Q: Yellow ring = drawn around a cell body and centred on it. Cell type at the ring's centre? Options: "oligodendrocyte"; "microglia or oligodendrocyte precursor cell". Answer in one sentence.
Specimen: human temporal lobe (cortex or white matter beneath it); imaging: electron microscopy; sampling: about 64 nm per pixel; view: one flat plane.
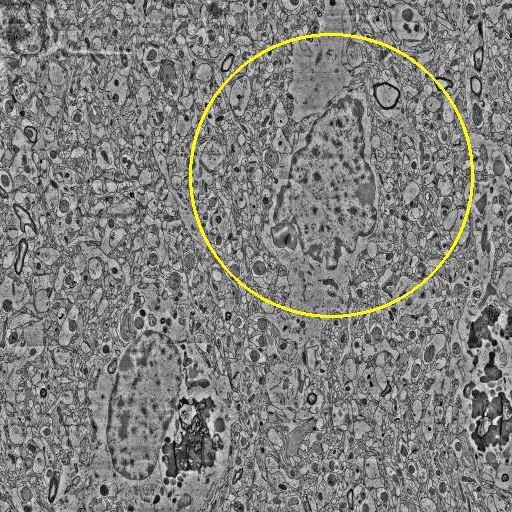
Centred in the ring is a microglial cell or oligodendrocyte precursor cell.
